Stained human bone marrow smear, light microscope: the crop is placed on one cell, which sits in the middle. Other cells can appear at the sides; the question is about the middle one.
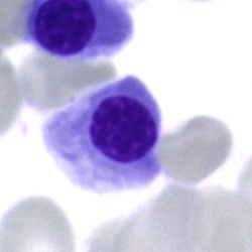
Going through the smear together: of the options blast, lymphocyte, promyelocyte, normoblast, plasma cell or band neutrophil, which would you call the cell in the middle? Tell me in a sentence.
In the centre of this crop there is a normoblast.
